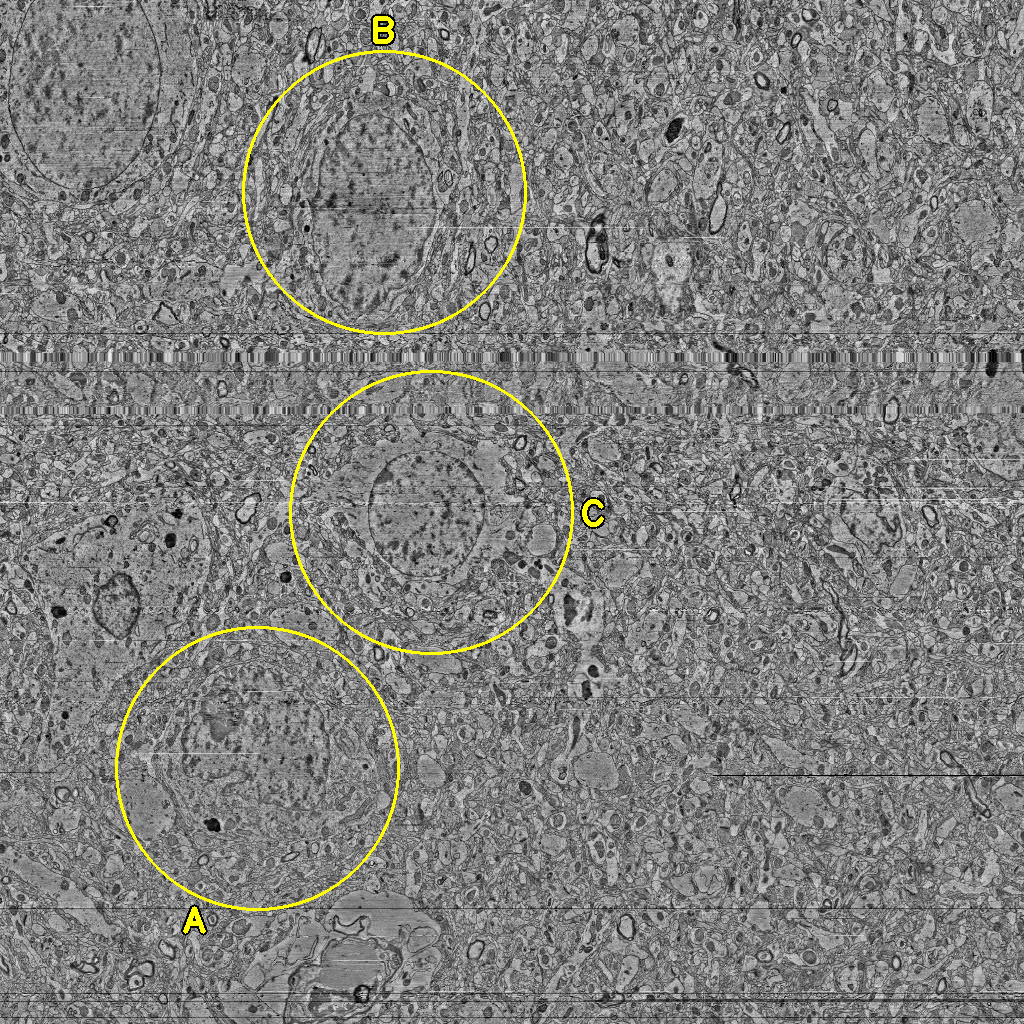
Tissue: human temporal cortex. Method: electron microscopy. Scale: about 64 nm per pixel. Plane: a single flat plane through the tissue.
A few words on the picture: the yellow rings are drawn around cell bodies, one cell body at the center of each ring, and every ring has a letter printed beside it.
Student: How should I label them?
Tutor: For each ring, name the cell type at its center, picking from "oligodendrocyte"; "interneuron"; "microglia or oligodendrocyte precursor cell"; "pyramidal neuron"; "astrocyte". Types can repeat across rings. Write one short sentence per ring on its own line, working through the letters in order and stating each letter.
In ring A, the central cell is an interneuron.
In ring B, the central cell is an interneuron.
In ring C, the central cell is an astrocyte.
